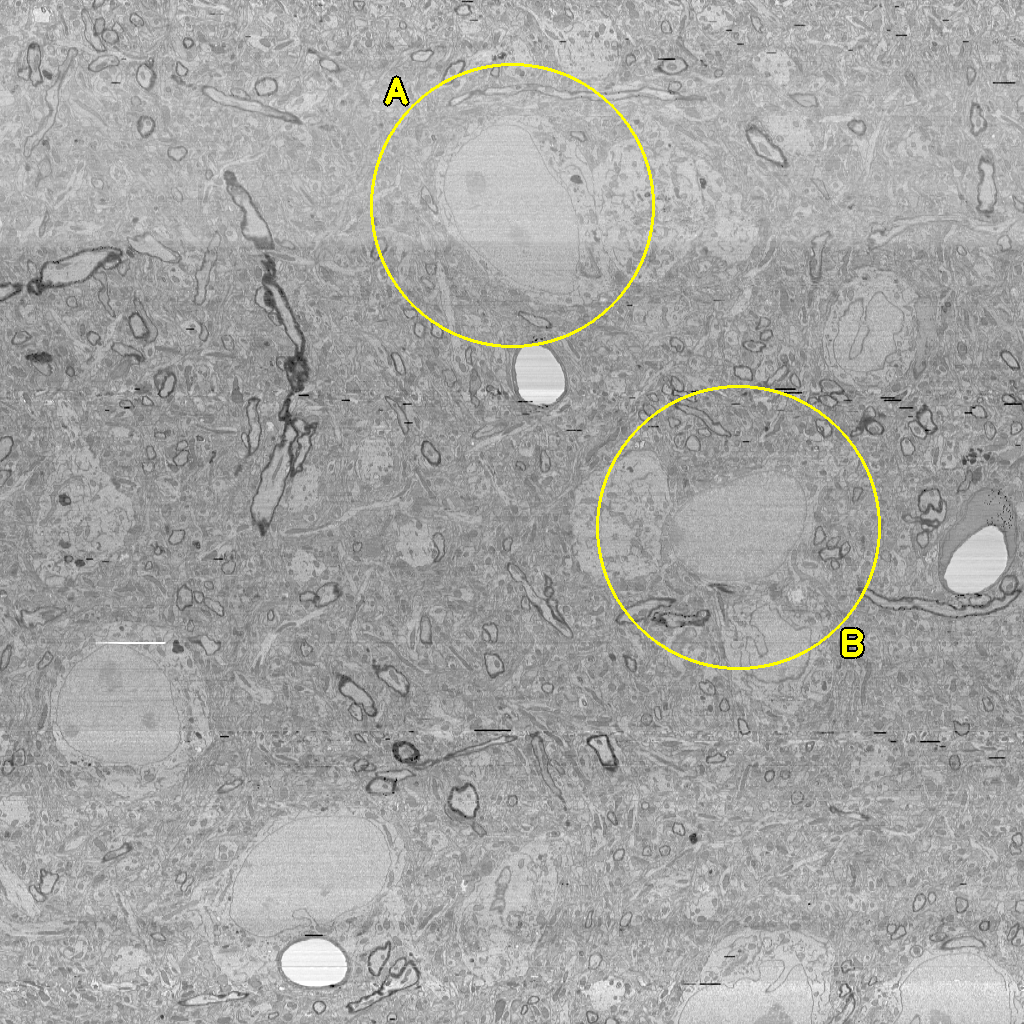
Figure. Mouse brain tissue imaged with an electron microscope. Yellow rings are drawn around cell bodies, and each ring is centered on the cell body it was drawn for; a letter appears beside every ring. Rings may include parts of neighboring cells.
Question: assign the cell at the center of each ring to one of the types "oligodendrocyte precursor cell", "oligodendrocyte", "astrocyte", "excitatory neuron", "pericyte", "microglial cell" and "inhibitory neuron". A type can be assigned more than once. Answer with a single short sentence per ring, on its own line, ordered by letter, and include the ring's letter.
Centered in ring A is an excitatory neuron.
Centered in ring B is an astrocyte.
